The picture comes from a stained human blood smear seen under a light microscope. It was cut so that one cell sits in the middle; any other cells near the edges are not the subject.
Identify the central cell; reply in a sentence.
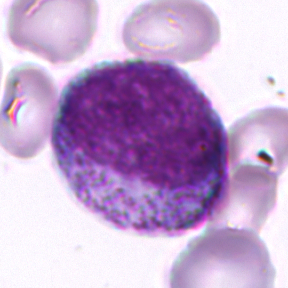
The cell shown in the center of this light-microscope crop is a promyelocyte.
